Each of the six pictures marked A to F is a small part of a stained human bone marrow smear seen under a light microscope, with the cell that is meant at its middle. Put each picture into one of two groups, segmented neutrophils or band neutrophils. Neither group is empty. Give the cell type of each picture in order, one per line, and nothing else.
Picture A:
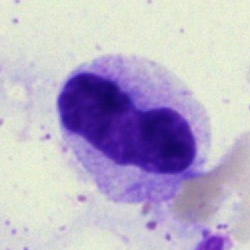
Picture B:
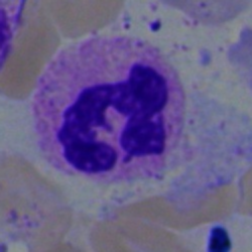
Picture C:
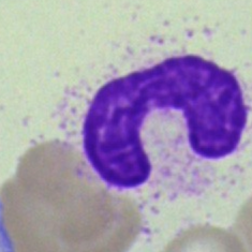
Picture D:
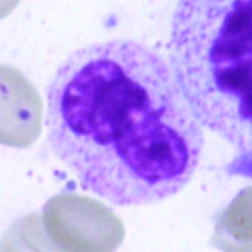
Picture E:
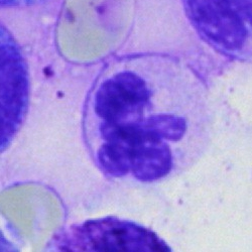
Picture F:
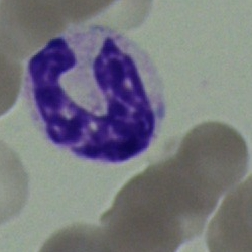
band neutrophil
segmented neutrophil
band neutrophil
band neutrophil
segmented neutrophil
band neutrophil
